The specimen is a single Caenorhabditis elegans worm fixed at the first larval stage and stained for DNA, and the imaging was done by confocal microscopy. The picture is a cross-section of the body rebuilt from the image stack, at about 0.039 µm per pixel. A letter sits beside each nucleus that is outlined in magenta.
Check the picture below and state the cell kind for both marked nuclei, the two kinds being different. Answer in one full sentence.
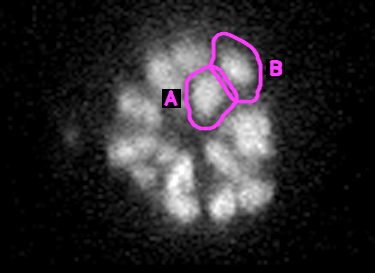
The nucleus A is that of a pharyngeal muscle cell, while B is that of a glial cell (sheath or socket).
